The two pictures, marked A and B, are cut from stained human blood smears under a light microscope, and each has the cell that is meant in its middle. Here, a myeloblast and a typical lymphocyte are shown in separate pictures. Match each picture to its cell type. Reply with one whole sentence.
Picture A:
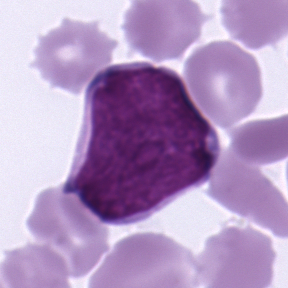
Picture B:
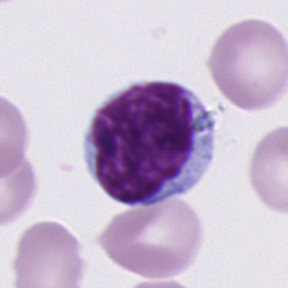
Picture B shows a typical lymphocyte, while picture A shows a myeloblast.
